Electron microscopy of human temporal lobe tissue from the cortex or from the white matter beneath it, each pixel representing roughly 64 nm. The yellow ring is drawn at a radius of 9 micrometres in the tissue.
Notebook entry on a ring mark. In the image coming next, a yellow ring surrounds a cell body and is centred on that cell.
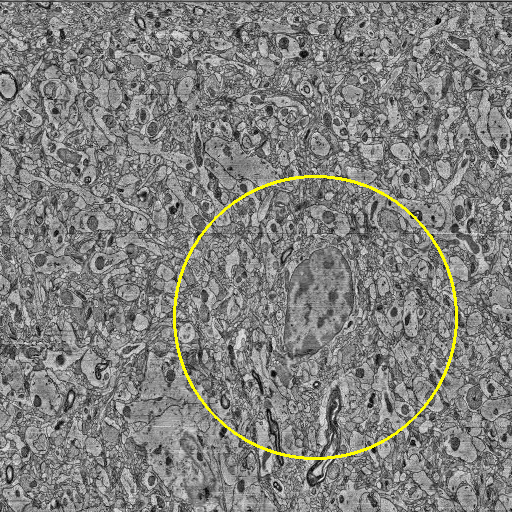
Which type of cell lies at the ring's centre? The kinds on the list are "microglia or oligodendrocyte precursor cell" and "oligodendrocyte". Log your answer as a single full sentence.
Centred in the yellow ring is a microglial cell or oligodendrocyte precursor cell, the cell recorded for this image.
